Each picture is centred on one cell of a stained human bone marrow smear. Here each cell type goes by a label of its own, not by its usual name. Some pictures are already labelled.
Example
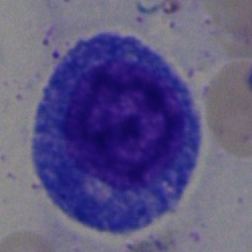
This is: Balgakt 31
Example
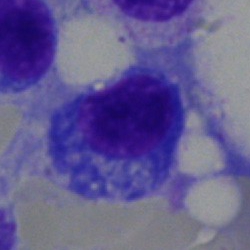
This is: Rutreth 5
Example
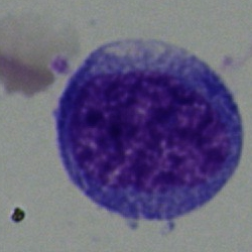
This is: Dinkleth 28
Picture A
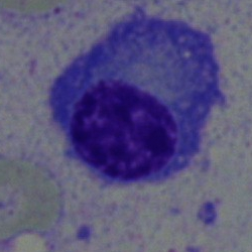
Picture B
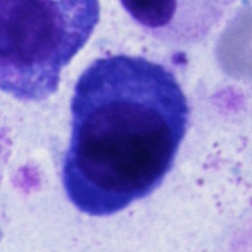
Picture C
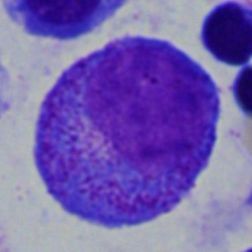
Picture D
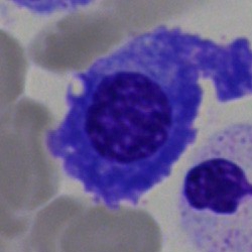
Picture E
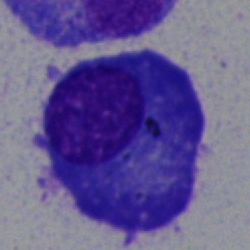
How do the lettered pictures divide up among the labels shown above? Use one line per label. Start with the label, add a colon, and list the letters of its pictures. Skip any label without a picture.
Balgakt 31: C
Rutreth 5: A, B, D, E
